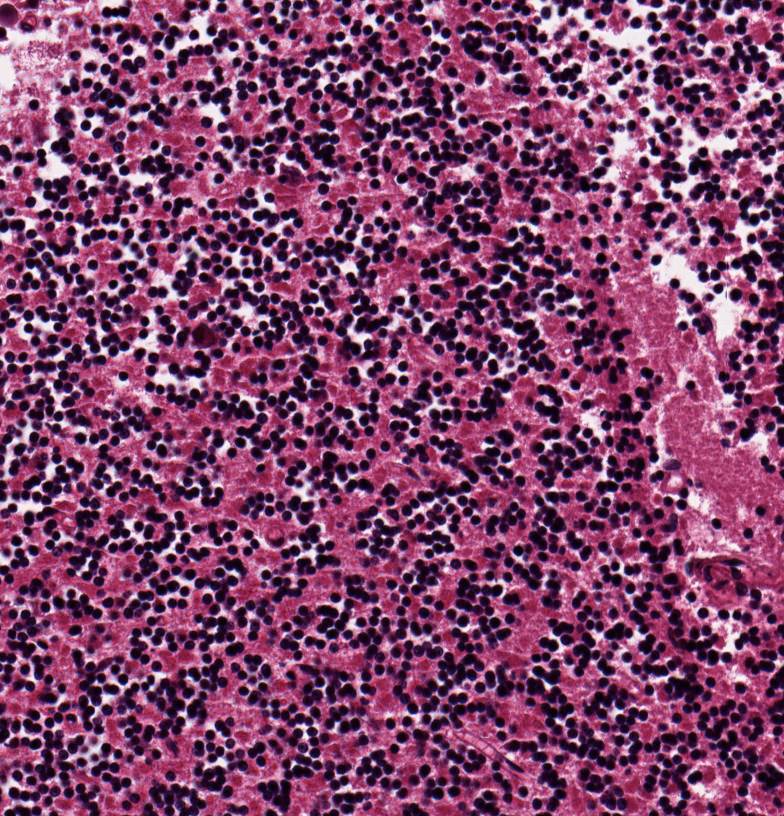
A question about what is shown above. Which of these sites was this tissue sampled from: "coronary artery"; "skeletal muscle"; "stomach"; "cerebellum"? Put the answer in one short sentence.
The site this tissue was sampled from is the cerebellum.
